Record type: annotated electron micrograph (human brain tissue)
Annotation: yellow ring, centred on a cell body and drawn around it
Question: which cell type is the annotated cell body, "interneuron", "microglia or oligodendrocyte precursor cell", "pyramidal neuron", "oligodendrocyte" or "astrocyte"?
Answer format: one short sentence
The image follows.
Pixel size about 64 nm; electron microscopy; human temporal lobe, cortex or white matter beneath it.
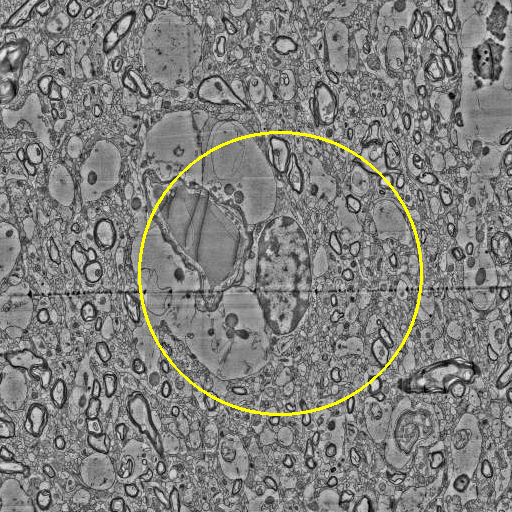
The annotated cell body is that of a microglial cell or oligodendrocyte precursor cell.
